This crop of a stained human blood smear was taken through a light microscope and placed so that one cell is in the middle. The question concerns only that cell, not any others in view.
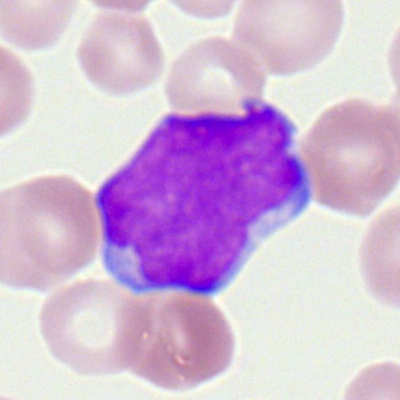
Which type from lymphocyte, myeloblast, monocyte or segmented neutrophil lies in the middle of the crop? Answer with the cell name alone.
myeloblast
